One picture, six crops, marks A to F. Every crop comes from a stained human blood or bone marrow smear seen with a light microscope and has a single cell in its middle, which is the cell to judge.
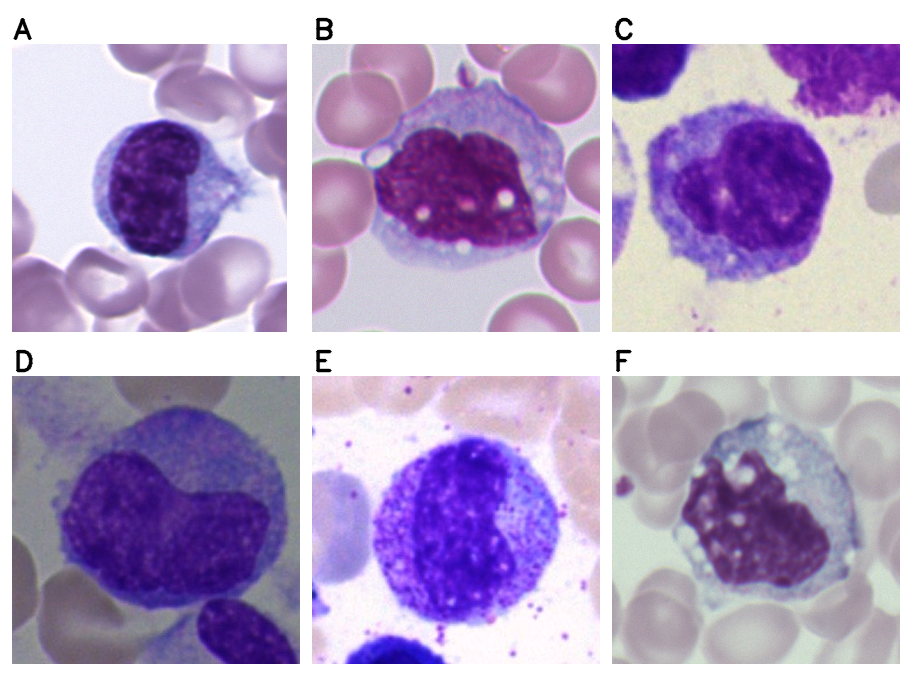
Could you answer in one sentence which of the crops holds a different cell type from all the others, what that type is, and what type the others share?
Here the outlier is crop E, which is a metamyelocyte, and the rest are monocytes.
